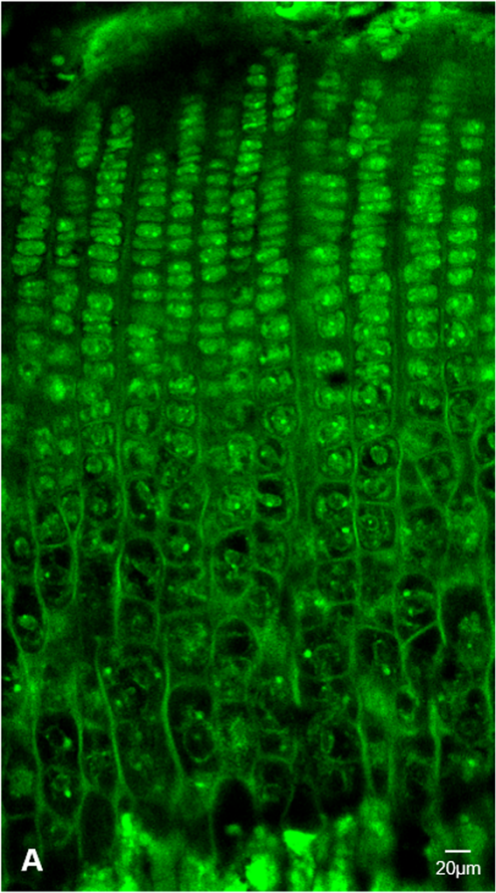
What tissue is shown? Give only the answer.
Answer: Growth plate cartilage.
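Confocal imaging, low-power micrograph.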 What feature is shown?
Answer: chondrocytes stacked in columns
